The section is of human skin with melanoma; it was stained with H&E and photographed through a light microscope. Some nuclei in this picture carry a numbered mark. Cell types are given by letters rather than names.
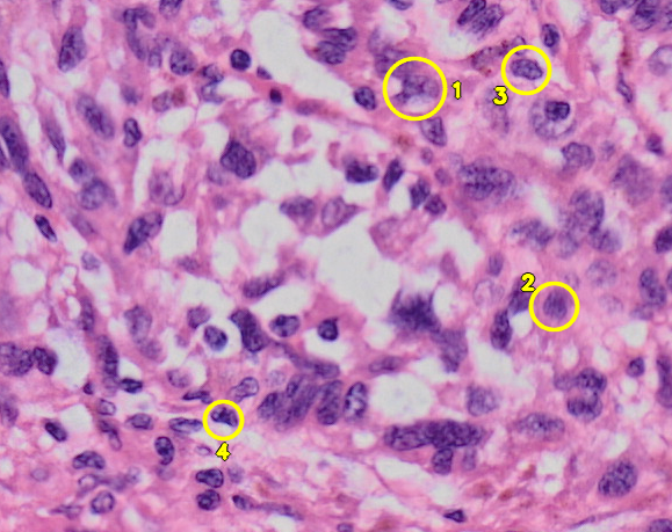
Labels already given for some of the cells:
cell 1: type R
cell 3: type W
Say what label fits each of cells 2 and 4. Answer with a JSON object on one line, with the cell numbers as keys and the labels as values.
{"2": "type R", "4": "type W"}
